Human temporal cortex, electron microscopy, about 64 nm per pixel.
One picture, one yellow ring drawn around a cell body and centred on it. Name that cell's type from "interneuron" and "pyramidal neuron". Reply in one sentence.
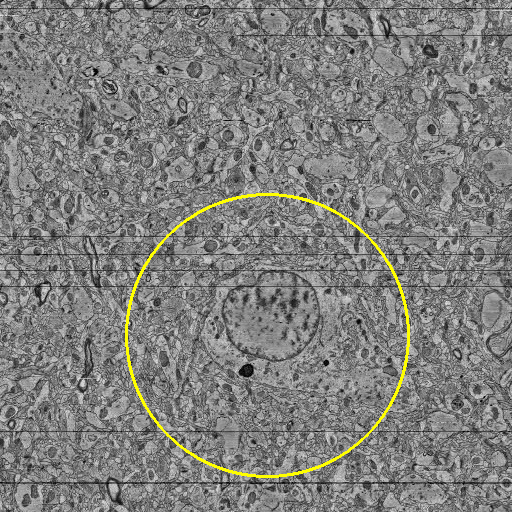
Centred in the ring is a pyramidal neuron.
